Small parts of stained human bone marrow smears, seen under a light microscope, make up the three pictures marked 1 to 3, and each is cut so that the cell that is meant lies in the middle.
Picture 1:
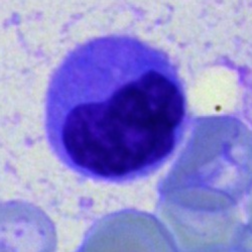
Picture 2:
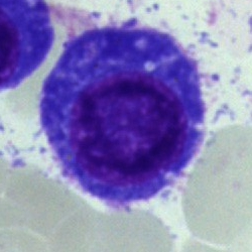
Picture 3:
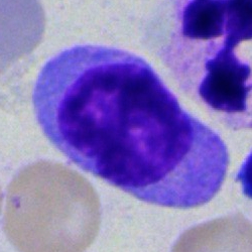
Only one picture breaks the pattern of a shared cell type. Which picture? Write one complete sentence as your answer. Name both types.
All pictures except 2 show monocytes; picture 2 shows a plasma cell.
